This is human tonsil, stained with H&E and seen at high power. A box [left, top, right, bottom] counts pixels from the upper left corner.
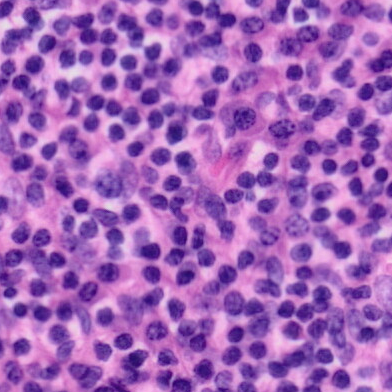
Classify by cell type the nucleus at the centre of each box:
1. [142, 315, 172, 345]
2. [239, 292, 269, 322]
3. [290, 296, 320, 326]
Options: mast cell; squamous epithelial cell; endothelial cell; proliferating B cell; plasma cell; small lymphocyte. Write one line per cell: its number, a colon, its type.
1: plasma cell
2: small lymphocyte
3: small lymphocyte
